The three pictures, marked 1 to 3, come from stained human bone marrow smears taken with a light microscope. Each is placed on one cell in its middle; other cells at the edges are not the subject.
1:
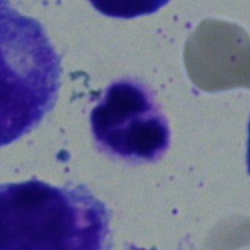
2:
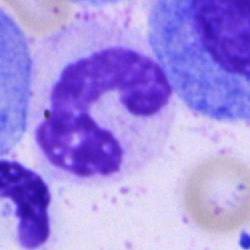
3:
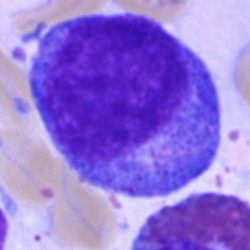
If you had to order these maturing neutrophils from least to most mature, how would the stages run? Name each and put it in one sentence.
Ordered from the youngest stage to the most mature, the crops are crop 3 (a promyelocyte), crop 2 (a band neutrophil) and crop 1 (a segmented neutrophil).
